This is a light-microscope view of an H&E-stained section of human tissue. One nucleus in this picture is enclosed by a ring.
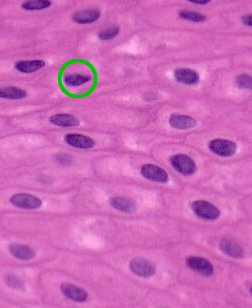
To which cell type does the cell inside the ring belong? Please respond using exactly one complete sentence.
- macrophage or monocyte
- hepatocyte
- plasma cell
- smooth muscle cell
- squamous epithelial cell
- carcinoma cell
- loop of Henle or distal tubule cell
The identity of the cell inside the ring is that of a squamous epithelial cell.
